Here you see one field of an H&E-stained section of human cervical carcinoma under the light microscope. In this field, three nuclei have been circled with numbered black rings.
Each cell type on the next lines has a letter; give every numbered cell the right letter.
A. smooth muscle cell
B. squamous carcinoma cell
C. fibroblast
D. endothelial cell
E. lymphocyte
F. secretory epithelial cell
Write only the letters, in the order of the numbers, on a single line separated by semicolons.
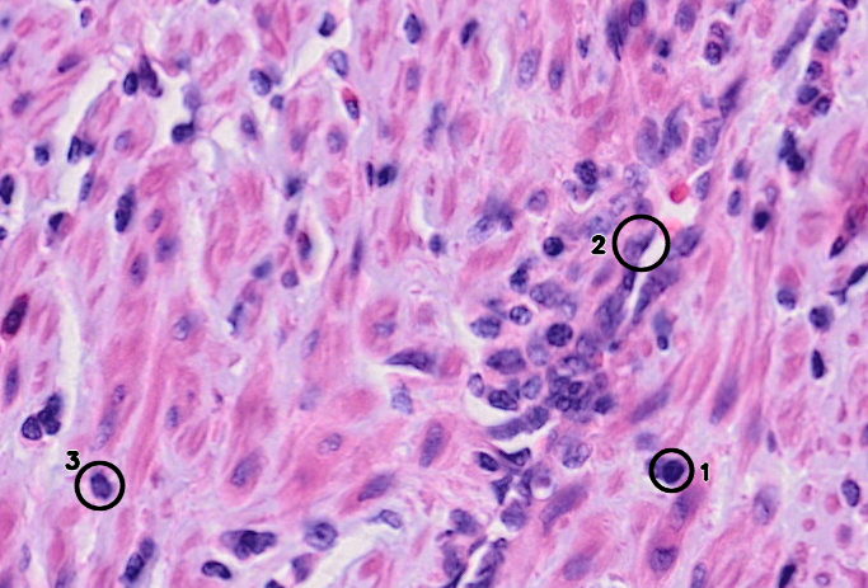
E; D; E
